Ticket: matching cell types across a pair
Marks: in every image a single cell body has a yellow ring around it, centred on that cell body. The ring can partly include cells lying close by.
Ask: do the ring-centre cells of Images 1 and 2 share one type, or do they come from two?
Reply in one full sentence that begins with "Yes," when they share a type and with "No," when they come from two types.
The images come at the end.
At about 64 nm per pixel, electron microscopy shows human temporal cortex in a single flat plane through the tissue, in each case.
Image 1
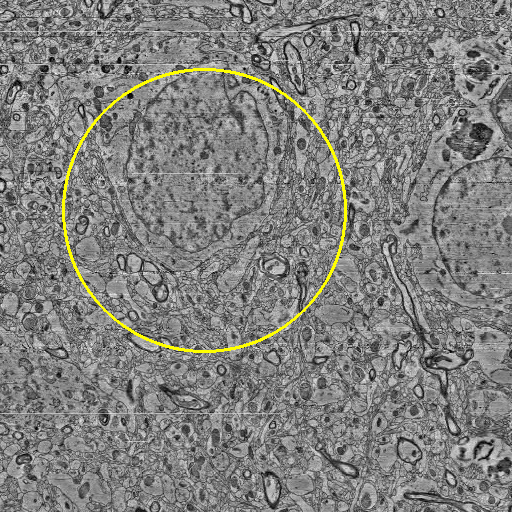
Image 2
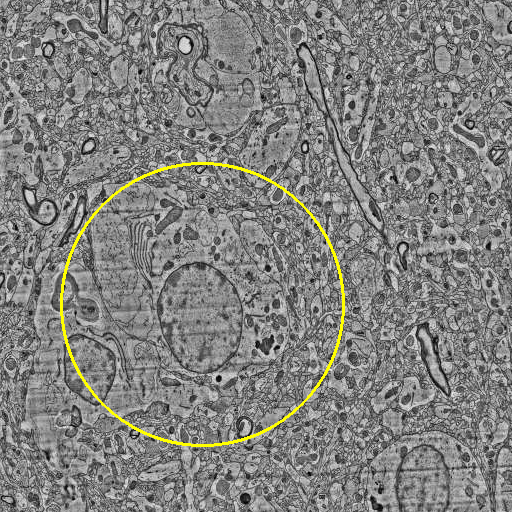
No, the cells in the centres of the rings in Image 1 and Image 2 come from two types.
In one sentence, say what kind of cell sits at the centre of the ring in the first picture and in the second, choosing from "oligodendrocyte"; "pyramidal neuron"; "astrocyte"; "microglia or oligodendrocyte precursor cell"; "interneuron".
The first picture's ringed cell is an interneuron, while the second picture's is an astrocyte.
